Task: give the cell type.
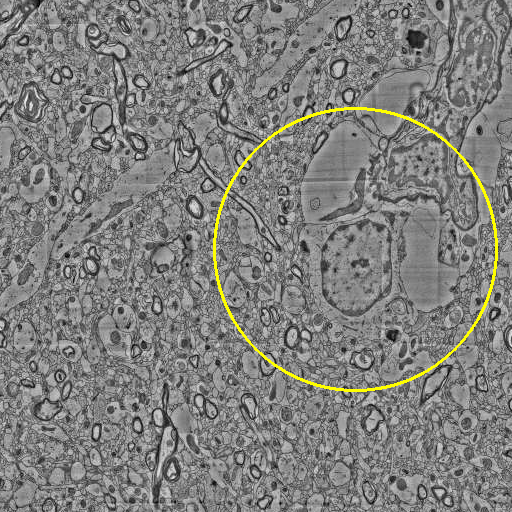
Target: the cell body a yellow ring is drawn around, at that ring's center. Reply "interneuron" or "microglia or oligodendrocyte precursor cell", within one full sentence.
In this picture, the cell whose body lies at the ring's center is a microglial cell or oligodendrocyte precursor cell.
